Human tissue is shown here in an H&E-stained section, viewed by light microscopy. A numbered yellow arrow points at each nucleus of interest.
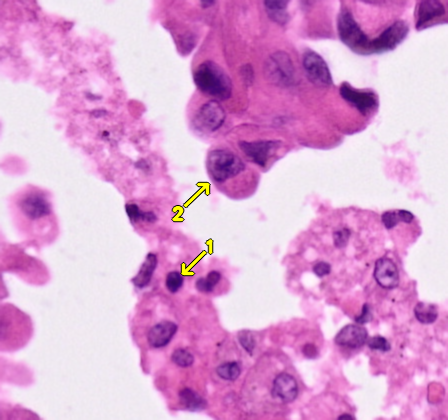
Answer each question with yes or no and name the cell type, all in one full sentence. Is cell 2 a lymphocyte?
No, cell 2 represents a carcinoma cell rather than a lymphocyte.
